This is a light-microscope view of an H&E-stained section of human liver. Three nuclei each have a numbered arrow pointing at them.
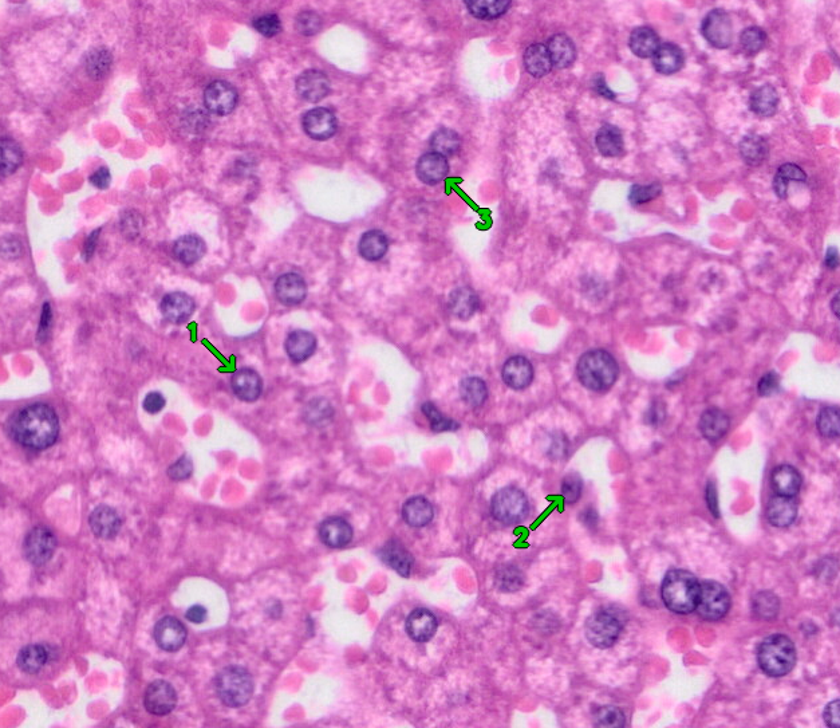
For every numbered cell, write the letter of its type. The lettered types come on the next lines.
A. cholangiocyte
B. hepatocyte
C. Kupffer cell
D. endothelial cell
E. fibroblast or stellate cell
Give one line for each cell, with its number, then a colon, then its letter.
1: B
2: C
3: B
